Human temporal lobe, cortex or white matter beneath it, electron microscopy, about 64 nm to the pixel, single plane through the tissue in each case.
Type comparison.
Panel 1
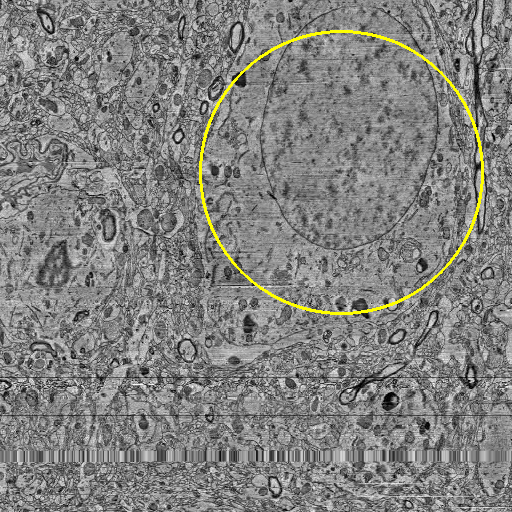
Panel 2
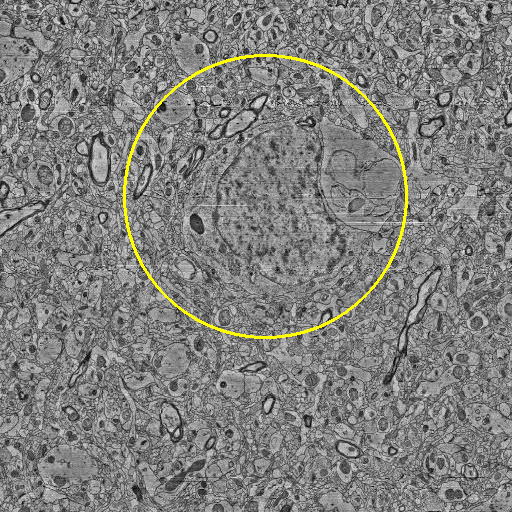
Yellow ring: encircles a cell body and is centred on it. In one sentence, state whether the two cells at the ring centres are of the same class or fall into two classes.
In these panels, the two cells at the ring centres fall into two classes.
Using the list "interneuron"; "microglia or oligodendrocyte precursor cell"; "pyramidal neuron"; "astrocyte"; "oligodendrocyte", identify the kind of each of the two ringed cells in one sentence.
The first is a pyramidal neuron and the second is an interneuron.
